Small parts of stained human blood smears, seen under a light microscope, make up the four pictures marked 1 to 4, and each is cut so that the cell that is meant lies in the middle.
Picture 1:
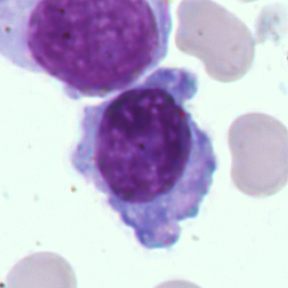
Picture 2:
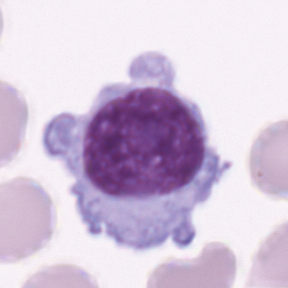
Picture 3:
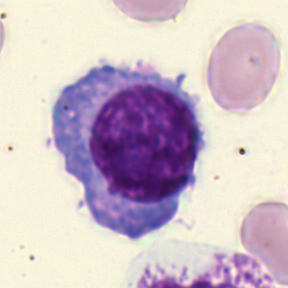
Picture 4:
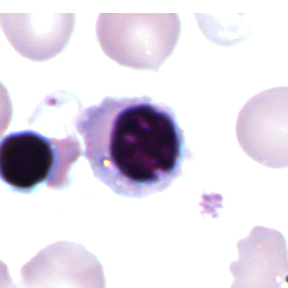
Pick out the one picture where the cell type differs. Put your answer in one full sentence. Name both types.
Picture 4 differs, because its cell is a normoblast and the rest are plasma cells.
